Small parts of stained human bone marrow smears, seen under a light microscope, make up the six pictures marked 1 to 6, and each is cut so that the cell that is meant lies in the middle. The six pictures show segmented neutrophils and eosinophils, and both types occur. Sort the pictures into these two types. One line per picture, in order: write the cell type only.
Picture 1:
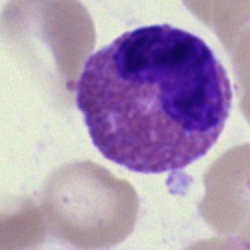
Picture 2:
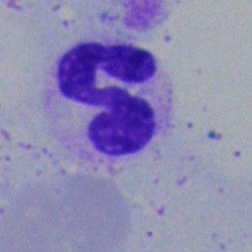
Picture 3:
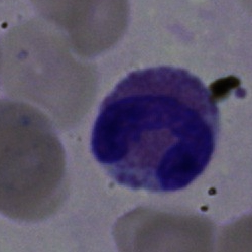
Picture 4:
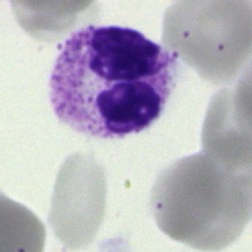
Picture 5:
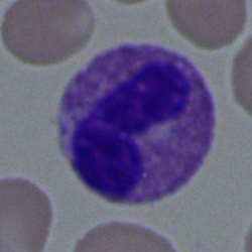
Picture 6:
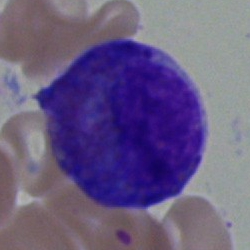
eosinophil
segmented neutrophil
eosinophil
segmented neutrophil
eosinophil
eosinophil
